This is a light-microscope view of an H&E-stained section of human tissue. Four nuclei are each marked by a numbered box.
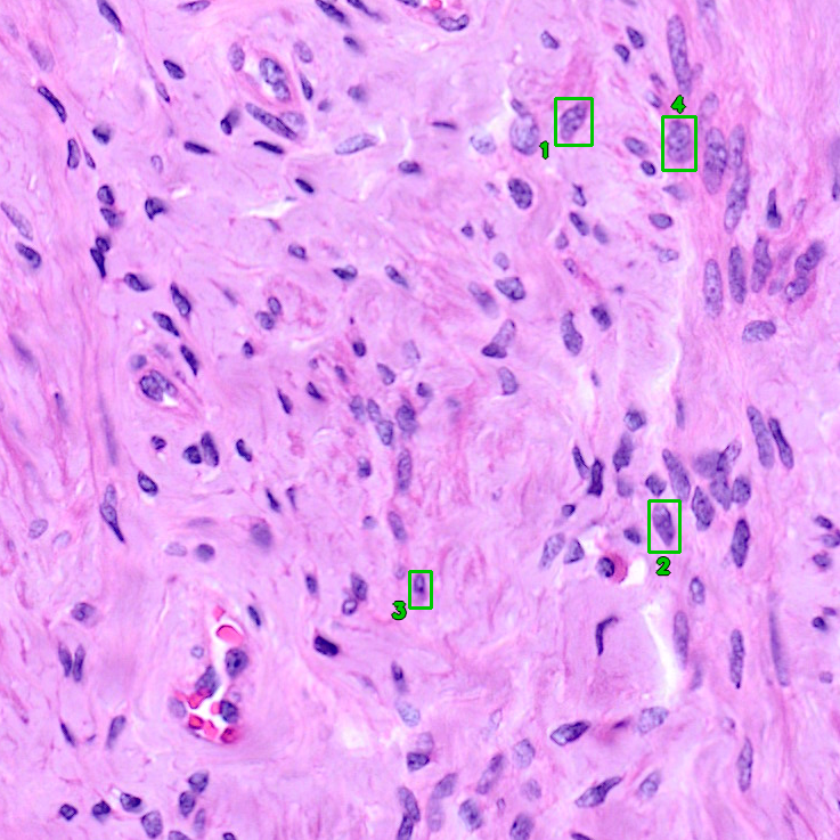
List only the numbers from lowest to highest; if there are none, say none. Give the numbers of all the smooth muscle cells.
1, 3, 4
